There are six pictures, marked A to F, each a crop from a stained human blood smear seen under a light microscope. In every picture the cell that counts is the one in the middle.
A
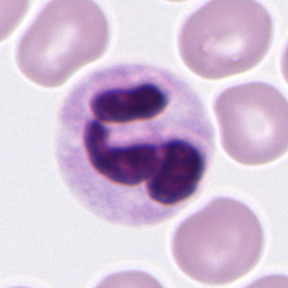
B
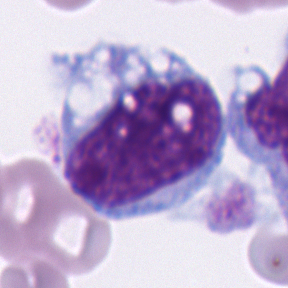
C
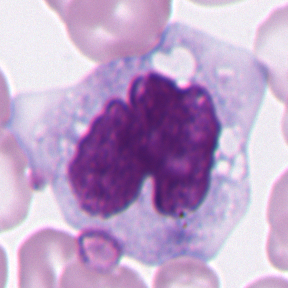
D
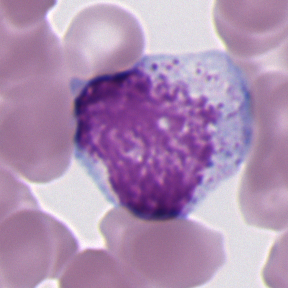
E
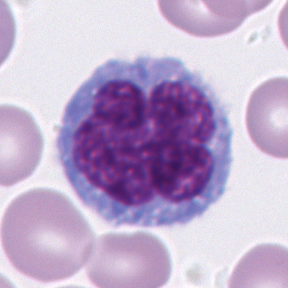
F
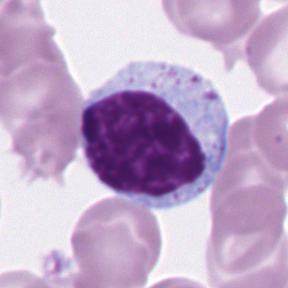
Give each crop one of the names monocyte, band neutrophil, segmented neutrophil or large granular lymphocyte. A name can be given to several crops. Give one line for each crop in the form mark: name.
A: segmented neutrophil
B: monocyte
C: monocyte
D: large granular lymphocyte
E: monocyte
F: large granular lymphocyte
